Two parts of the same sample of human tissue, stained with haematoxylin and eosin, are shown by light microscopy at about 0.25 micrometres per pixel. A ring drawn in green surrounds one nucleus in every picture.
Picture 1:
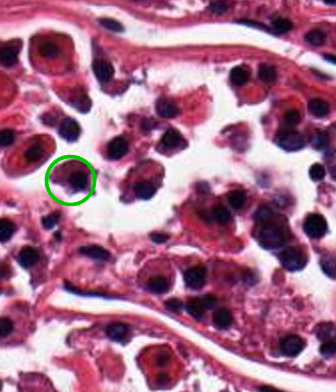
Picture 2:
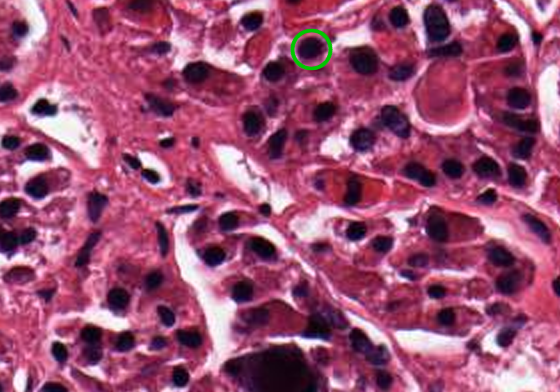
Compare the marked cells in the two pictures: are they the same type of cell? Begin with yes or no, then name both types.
Yes, both are anterior pituitary cells.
